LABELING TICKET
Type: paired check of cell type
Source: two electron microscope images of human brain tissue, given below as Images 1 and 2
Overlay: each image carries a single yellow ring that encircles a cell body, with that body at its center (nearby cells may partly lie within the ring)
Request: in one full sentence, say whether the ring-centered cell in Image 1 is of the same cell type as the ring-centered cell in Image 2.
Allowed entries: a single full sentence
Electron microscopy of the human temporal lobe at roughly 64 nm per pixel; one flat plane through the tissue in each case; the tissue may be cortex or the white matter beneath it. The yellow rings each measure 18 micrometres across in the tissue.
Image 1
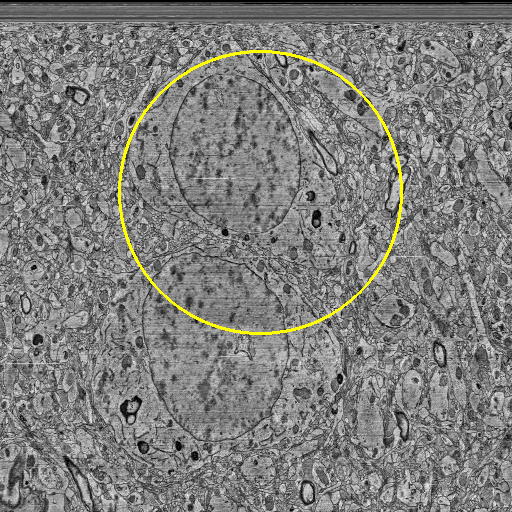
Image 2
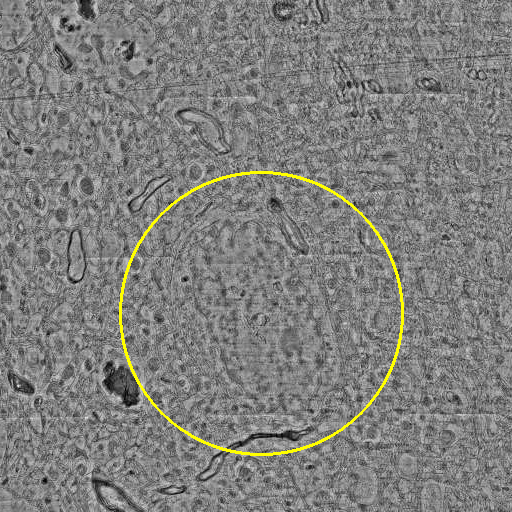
No, the cells centered in the rings of Image 1 and Image 2 are of two types.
